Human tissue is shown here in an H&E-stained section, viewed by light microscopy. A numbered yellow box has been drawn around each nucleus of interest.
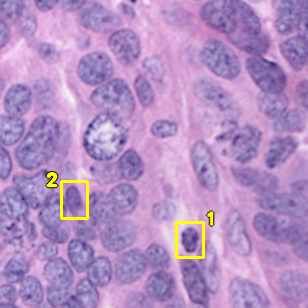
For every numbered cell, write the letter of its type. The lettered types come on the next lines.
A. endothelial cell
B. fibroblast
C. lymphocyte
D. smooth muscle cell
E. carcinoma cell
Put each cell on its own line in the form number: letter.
1: C
2: E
